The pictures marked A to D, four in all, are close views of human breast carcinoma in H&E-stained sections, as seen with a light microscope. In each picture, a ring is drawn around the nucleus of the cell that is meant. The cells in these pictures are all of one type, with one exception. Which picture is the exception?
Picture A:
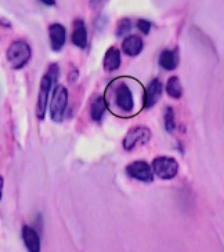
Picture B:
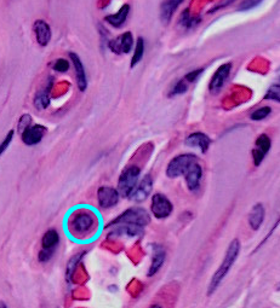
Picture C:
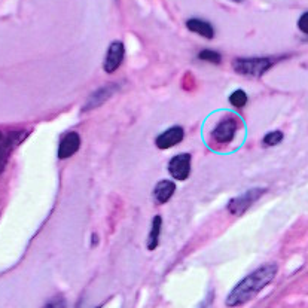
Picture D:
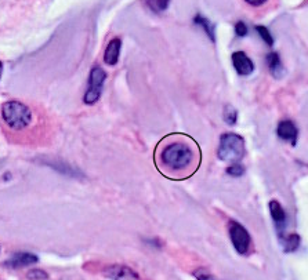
A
